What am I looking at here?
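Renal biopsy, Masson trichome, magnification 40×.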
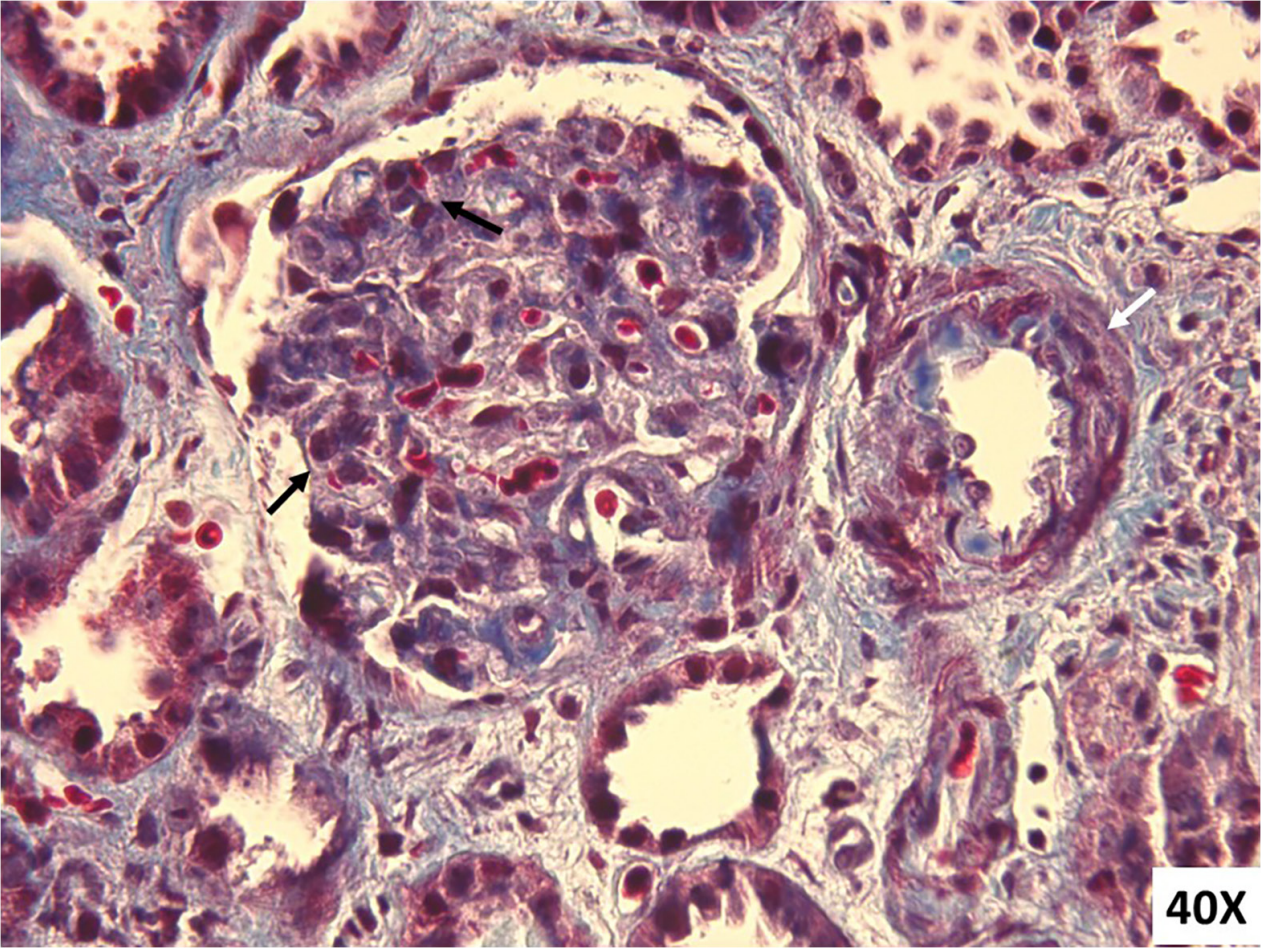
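Kidney cortex with a glomerulus at centre, an arteriole on the right and tubules around both. The glomerular tuft is crowded with nuclei and lobulated, its capillary loops narrowed and their walls thickened, with bright red erythrocytes and small red fragments caught in the lumens. A clear crescent of urinary space separates the tuft from the thin capsule. The arteriole has a concentric wall of elongated cells around an open lumen, and the interstitium between tubules holds wispy blue-green collagen fibres.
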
